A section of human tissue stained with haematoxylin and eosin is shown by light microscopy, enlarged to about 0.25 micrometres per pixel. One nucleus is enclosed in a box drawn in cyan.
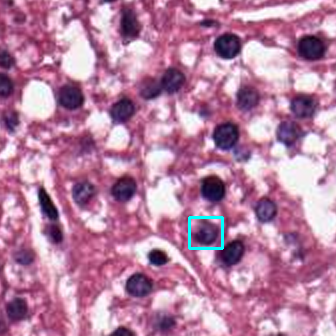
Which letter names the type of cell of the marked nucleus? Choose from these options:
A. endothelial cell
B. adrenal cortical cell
B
